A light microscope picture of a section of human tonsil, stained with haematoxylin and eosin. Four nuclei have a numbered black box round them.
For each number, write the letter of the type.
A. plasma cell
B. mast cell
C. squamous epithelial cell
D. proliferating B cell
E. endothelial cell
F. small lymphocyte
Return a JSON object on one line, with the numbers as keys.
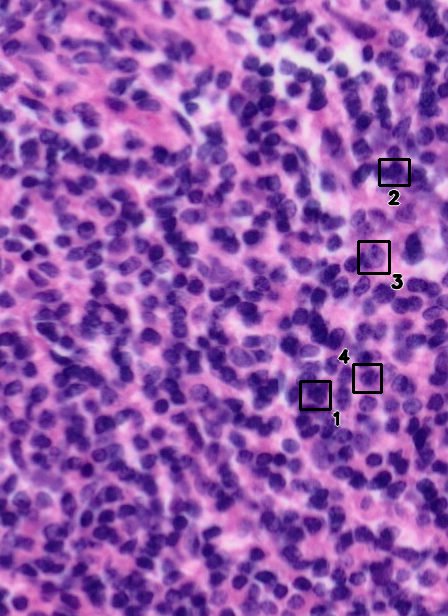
{"1": "F", "2": "F", "3": "D", "4": "F"}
